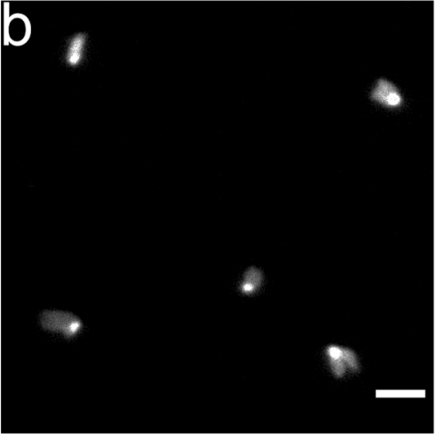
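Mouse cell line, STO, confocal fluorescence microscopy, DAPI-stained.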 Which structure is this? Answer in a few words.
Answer: Acrocentric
